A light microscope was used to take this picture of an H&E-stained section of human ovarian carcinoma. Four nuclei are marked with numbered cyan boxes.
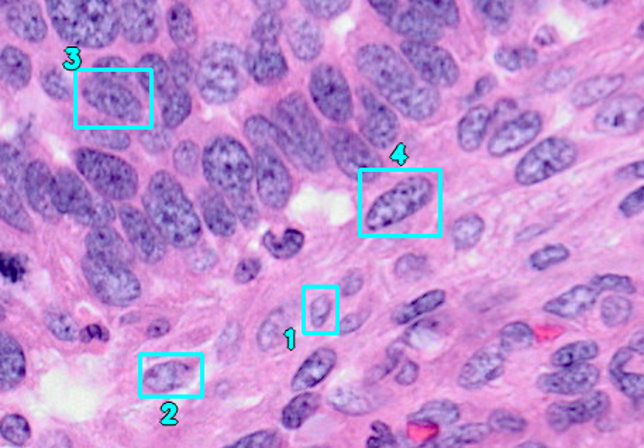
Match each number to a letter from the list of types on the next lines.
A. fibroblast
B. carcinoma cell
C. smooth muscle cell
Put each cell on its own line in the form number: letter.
1: A
2: A
3: B
4: A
